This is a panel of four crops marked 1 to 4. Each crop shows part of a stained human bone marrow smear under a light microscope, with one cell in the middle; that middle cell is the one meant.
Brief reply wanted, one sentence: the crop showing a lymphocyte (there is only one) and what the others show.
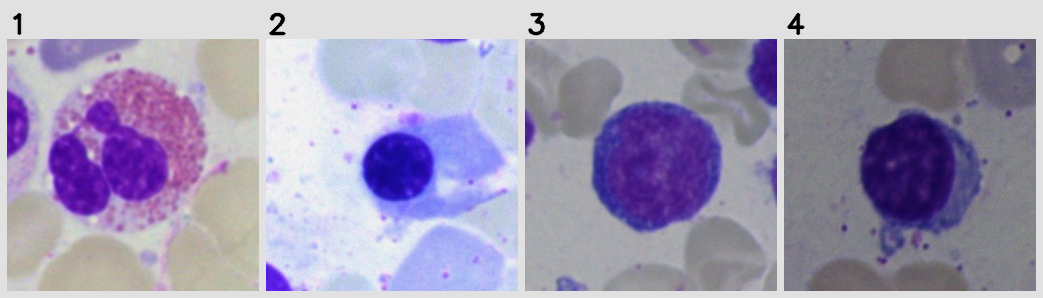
In the set, crop 4 shows a lymphocyte, whereas crop 1 is an eosinophil, crop 2 is a normoblast and crop 3 is a blast.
